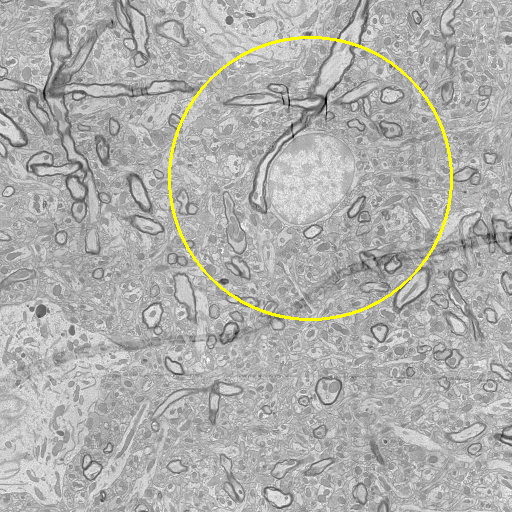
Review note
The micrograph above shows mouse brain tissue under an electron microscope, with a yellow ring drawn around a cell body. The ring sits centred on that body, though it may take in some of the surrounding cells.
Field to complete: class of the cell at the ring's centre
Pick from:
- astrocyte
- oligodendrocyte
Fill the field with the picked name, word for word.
oligodendrocyte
